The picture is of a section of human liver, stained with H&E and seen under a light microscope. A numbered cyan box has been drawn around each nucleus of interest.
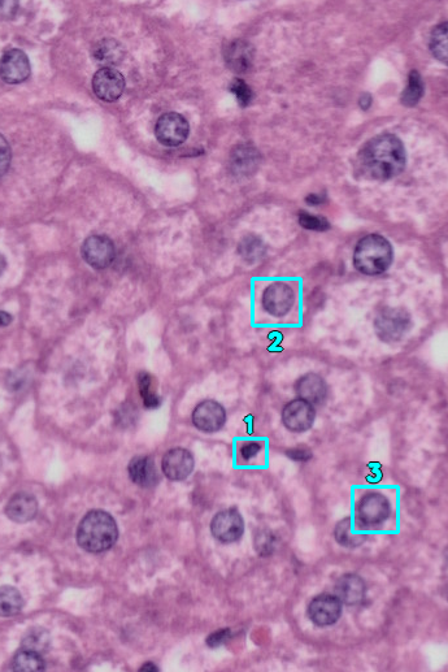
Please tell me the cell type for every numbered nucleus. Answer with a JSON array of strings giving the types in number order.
["fibroblast or stellate cell", "hepatocyte", "hepatocyte"]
